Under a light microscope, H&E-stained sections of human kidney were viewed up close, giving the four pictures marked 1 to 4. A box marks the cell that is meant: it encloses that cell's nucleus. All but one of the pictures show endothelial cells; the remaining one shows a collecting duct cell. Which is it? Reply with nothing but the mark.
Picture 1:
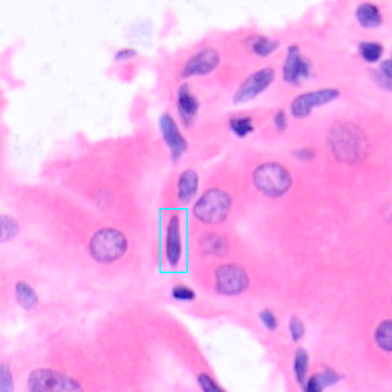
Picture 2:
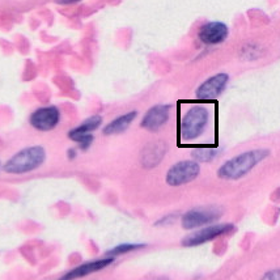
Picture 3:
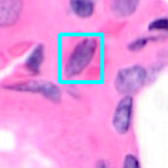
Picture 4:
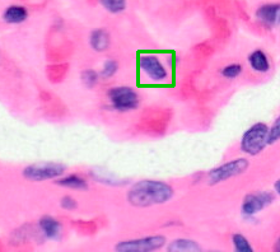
2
